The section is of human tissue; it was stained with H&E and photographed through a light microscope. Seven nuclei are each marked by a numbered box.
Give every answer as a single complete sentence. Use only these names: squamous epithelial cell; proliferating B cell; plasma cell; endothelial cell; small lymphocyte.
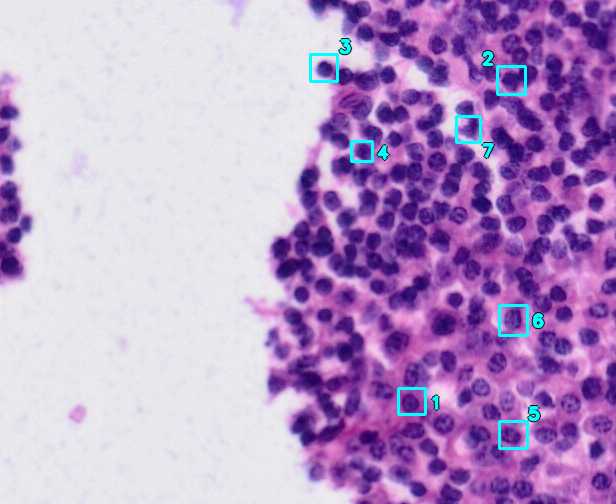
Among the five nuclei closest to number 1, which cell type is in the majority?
Of the five nuclei nearest to number 1, most belong to plasma cells.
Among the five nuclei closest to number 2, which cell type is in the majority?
Around number 2, most of the five nearest nuclei are those of small lymphocytes.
